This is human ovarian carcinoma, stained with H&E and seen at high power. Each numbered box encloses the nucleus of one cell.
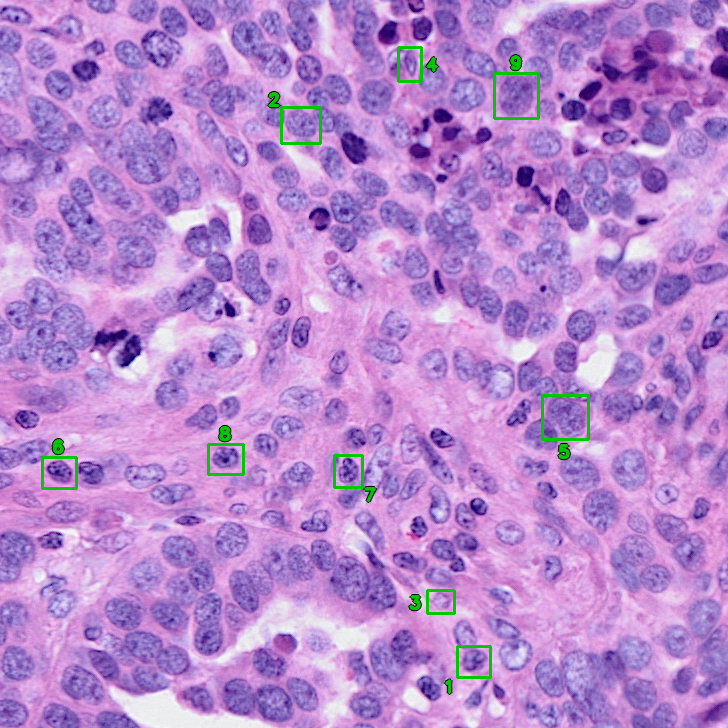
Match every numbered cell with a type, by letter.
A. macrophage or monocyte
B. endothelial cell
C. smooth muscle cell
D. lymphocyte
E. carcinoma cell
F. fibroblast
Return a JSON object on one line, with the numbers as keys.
{"1": "D", "2": "E", "3": "F", "4": "A", "5": "E", "6": "D", "7": "D", "8": "D", "9": "E"}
